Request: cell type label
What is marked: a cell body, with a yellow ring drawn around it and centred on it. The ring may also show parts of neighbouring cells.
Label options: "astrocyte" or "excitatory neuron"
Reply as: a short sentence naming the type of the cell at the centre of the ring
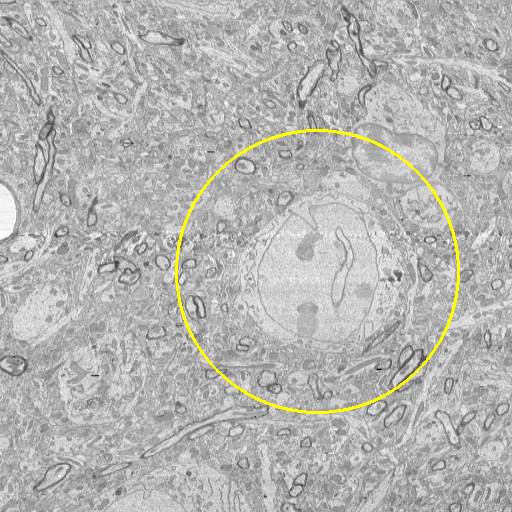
The marked cell body is that of an excitatory neuron.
